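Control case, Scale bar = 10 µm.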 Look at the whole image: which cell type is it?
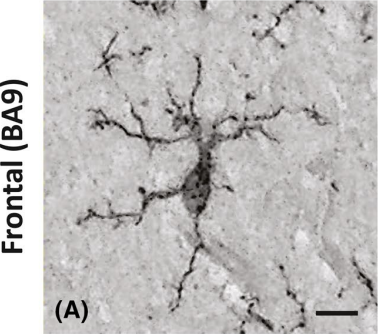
Microglia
